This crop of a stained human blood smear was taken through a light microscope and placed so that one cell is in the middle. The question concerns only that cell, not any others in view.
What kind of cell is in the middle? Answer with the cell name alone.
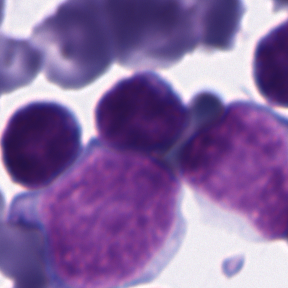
myeloblast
